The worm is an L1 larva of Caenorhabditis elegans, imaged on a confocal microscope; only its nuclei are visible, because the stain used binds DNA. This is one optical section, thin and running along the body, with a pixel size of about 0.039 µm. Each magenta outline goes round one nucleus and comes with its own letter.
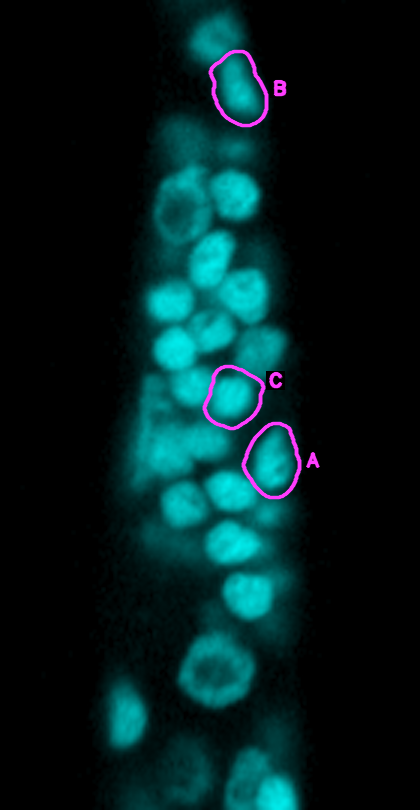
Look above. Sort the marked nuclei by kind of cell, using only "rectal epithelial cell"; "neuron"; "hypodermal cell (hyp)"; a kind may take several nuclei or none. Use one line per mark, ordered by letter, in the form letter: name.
A: rectal epithelial cell
B: hypodermal cell (hyp)
C: neuron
